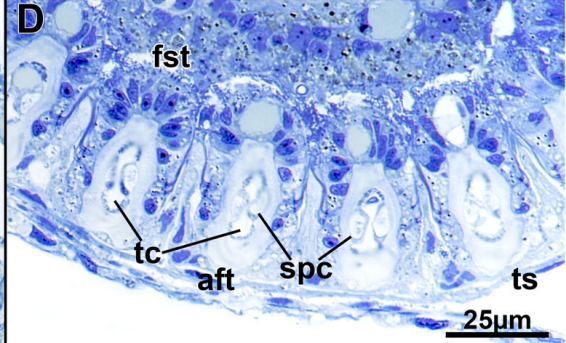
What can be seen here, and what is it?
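Cross-sectioned retracted tentacles lie in a row beneath a thick layer of cells, enclosed by a thin outer sheath. Each tentacle shows a pale, clear central cavity, the tentacle coelom, surrounded by an epidermis whose cells have dark blue-purple, oval nuclei arranged in a palisade on the frontal side. Inside several cavities, cells bulge from the wall towards the centre along the tentacle axis, forming pale lobed profiles with small nuclei. The abfrontal side is thin.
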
